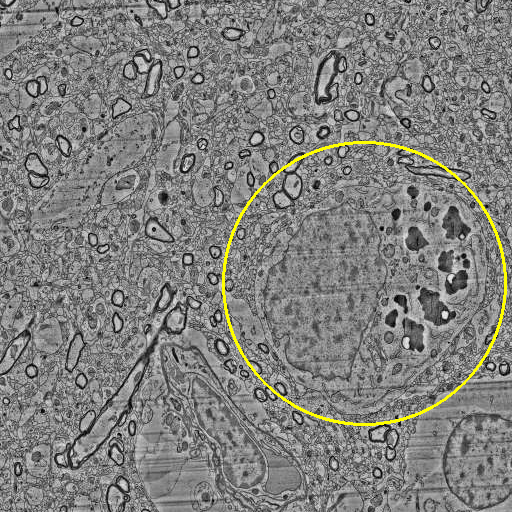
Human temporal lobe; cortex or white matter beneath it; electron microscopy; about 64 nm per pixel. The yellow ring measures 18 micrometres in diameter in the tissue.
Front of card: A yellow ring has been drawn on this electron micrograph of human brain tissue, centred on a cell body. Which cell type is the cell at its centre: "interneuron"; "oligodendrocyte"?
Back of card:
interneuron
